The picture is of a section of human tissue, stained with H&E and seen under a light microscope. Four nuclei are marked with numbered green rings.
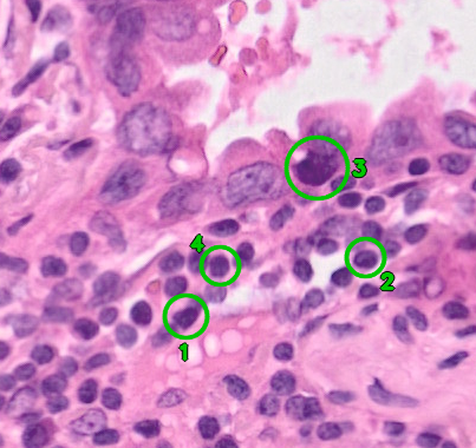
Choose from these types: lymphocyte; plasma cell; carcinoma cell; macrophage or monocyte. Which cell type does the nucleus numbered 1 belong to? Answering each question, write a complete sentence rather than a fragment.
Cell 1 in the field is a lymphocyte.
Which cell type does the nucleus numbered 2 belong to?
The numbered cell 2 is identified here as a lymphocyte.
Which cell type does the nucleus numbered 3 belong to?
The one numbered 3 among the marked cells is a carcinoma cell.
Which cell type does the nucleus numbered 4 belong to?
Number 4 among the marked cells is a lymphocyte.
